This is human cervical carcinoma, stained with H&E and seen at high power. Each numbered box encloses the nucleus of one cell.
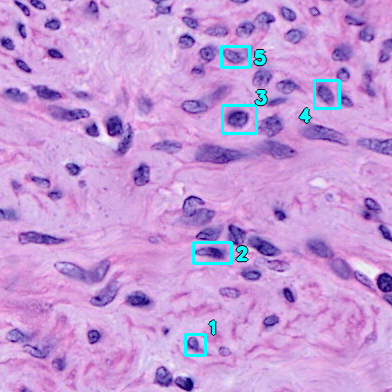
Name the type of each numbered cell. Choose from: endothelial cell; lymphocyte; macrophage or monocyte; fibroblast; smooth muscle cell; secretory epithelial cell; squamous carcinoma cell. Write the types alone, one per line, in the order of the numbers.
smooth muscle cell
fibroblast
lymphocyte
smooth muscle cell
smooth muscle cell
